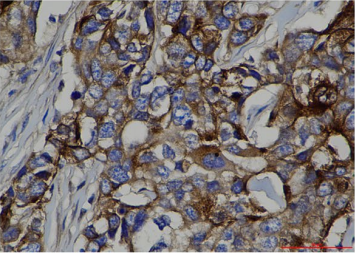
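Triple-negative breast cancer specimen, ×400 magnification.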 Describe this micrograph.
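The tumour cells have large, round to oval blue nuclei, some with visible nucleoli, and crowd together in irregular nests. Intense brown stain outlines the cell borders and fills parts of the cytoplasm, giving a net-like pattern across the clusters. Between the nests run pale bands of connective tissue with thin, elongated nuclei.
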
